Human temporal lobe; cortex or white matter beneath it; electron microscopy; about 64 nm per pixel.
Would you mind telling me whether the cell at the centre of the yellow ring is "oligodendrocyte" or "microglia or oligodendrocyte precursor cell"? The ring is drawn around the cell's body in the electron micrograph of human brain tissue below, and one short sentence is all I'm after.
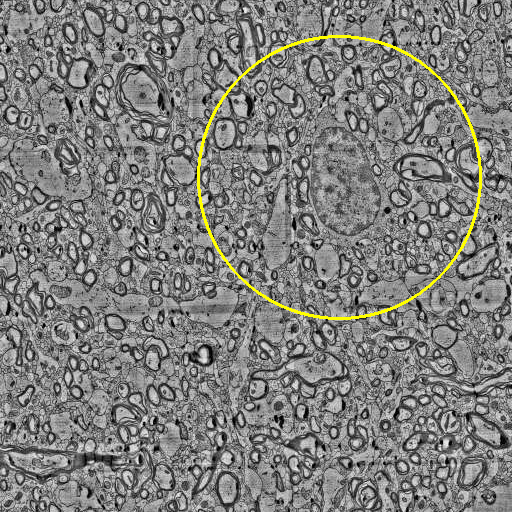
In the centre of the ring lies an oligodendrocyte.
